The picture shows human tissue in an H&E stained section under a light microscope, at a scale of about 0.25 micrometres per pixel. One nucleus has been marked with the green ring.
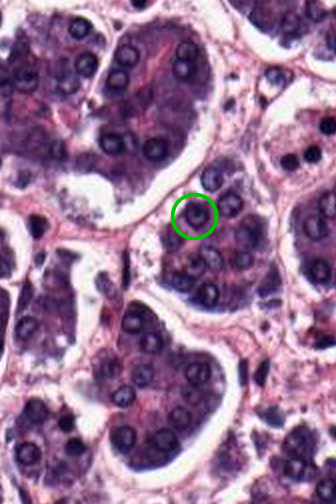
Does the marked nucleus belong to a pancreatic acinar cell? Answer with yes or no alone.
yes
